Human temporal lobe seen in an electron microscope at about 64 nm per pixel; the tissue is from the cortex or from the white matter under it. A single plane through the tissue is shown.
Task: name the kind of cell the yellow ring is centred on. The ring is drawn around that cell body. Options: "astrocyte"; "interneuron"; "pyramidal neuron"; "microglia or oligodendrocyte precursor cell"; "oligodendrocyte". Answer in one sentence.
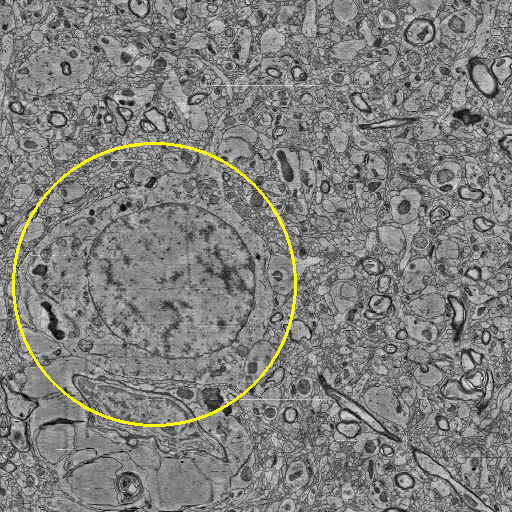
This cell body belongs to a pyramidal neuron.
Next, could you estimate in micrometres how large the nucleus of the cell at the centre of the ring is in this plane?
In this plane, approximately 11 micrometres across.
